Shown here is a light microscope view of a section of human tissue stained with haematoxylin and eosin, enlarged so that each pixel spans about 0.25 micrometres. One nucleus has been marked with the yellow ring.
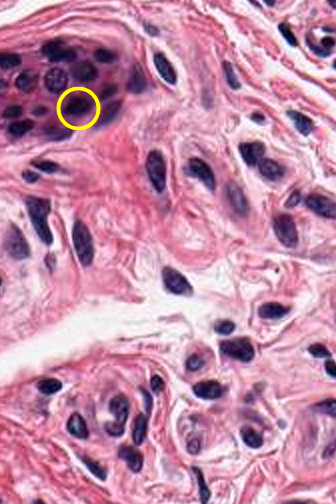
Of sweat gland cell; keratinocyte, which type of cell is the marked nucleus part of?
sweat gland cell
